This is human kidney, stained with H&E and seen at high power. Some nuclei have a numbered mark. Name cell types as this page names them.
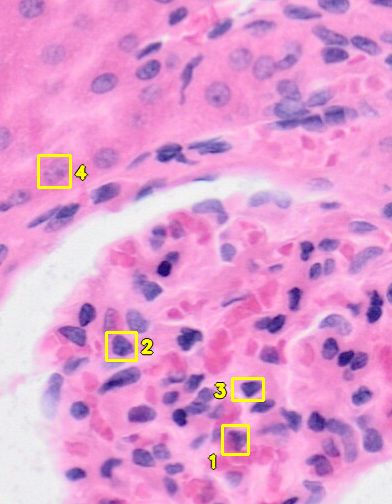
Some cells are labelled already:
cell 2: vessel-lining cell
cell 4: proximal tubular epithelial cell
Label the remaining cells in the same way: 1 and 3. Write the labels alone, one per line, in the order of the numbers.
vessel-lining cell
vessel-lining cell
